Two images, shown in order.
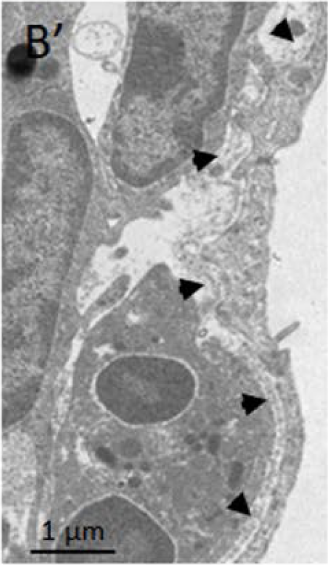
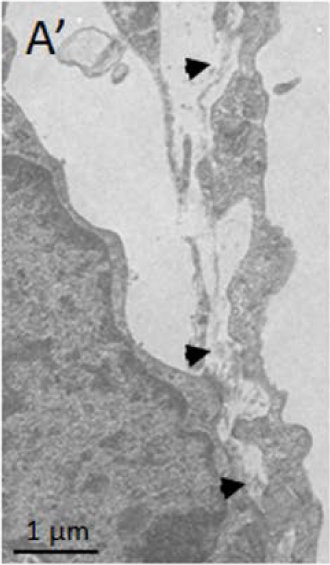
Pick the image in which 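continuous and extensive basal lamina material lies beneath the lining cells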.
The first image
